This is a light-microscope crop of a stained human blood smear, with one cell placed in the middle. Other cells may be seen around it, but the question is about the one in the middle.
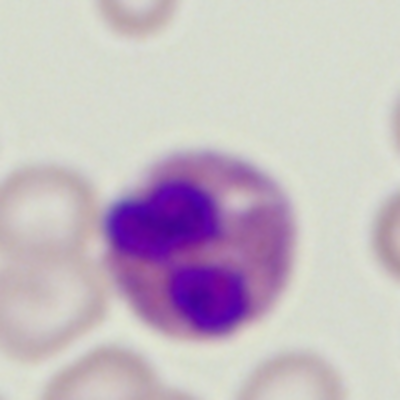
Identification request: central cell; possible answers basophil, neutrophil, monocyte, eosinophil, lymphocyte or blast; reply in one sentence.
The central cell shown in this smear crop is an eosinophil.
